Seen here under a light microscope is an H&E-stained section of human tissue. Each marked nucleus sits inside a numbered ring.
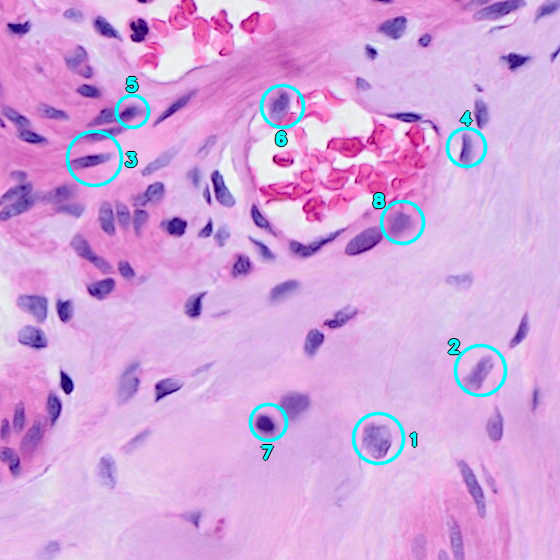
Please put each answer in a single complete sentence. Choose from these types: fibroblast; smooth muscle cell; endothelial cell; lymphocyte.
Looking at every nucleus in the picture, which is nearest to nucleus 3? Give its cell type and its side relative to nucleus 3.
The closest nucleus belongs to a smooth muscle cell and sits above and to the right of nucleus 3.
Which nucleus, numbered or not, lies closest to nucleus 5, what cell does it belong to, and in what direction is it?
The closest nucleus belongs to a smooth muscle cell and sits to the left of nucleus 5.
